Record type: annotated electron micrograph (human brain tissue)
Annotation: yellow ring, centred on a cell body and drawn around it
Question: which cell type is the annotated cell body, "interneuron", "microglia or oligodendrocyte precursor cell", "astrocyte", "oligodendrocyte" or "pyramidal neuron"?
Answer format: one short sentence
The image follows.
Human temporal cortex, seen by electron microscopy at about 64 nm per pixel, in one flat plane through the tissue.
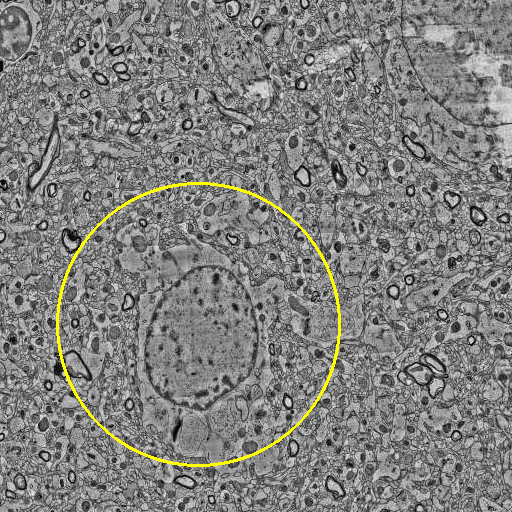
The annotated cell body is that of an astrocyte.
